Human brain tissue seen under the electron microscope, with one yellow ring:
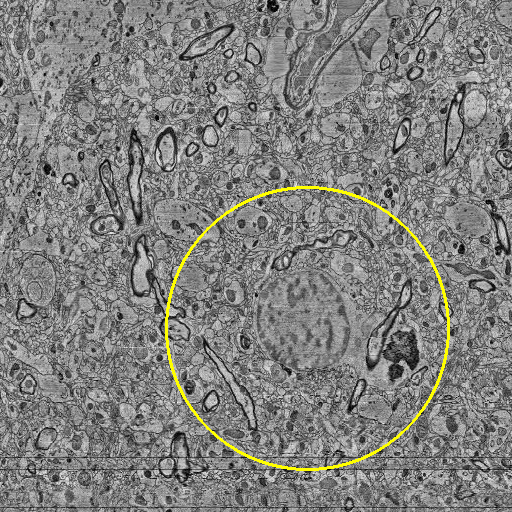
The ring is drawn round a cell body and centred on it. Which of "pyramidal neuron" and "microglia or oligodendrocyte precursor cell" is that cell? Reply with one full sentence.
The picture shows a microglial cell or oligodendrocyte precursor cell at the very centre of the yellow ring.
